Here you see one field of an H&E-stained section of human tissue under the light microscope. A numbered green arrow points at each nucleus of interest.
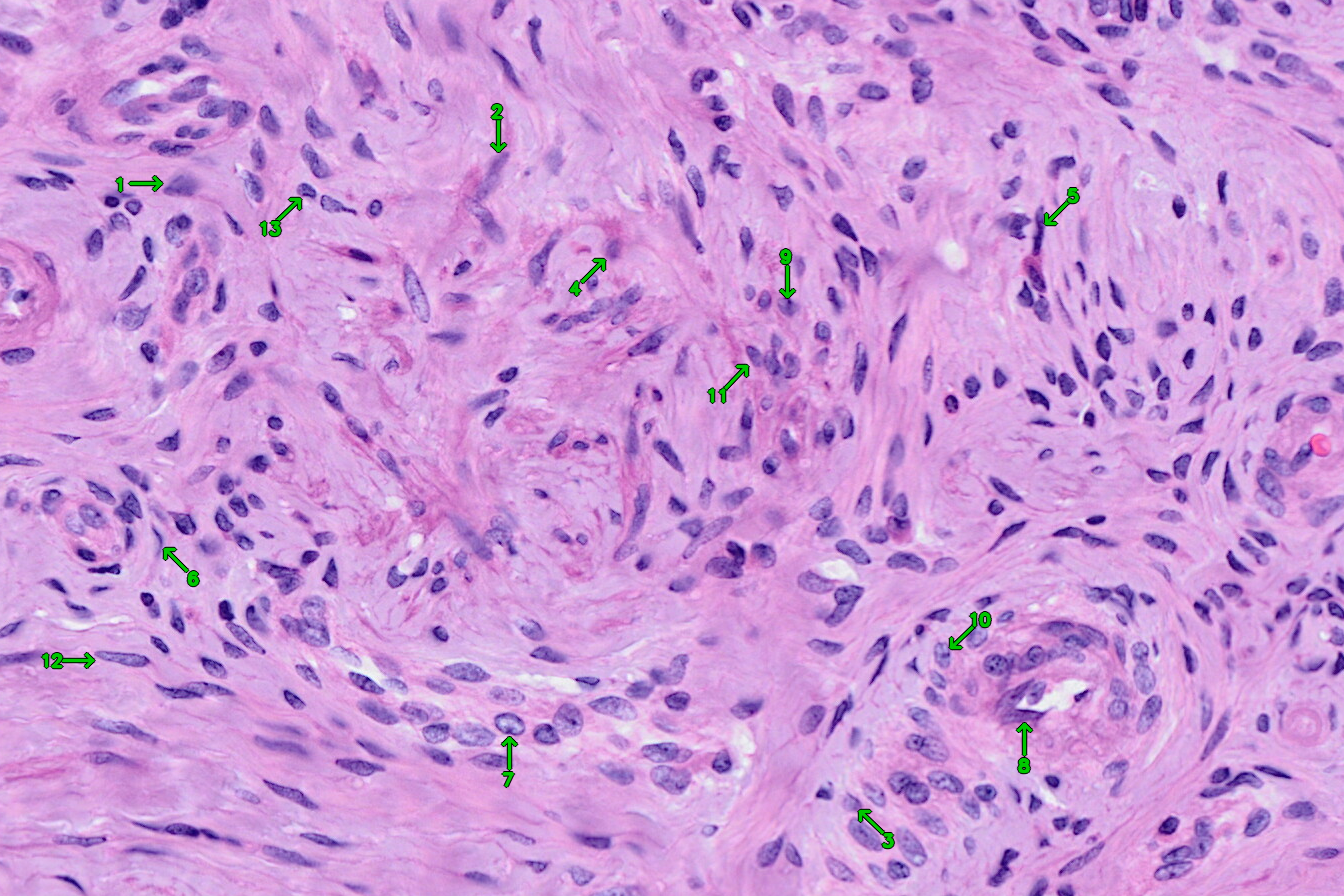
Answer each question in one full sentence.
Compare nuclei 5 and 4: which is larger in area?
The larger nucleus is 5, at roughly 1.5 times the area of 4.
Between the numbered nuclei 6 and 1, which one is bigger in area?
The larger nucleus is 1, at roughly 3 times the area of 6.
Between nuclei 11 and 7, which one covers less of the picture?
Nucleus 11 is the smaller one; nucleus 7 covers about 2 times its area.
